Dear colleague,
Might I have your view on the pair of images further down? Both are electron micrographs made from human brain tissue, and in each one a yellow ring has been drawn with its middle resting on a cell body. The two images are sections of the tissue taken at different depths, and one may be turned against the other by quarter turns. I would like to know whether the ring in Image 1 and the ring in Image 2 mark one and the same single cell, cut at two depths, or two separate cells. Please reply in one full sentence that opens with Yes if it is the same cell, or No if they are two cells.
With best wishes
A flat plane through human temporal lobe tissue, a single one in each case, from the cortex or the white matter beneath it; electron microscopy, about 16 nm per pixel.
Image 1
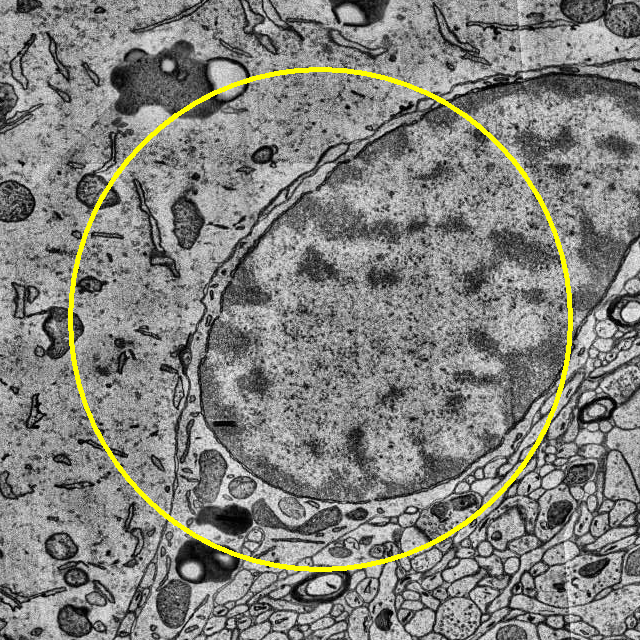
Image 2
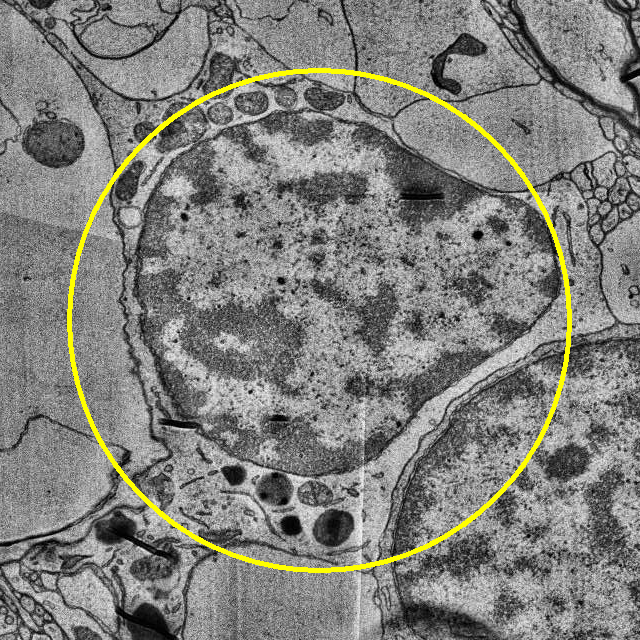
No, these yellow rings each mark a separate cell.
